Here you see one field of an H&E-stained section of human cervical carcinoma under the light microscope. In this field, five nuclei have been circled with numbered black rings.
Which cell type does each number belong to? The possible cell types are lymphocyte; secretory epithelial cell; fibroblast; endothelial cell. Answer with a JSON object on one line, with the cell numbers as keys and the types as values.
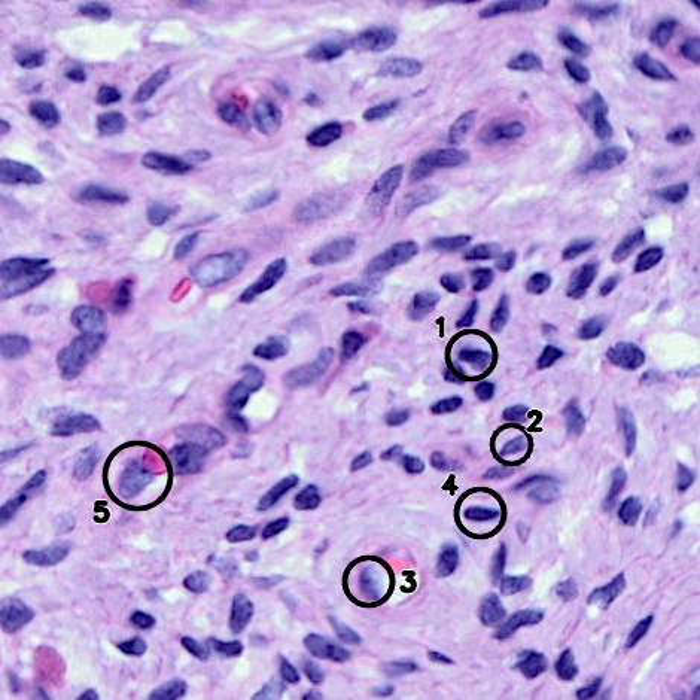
{"1": "fibroblast", "2": "fibroblast", "3": "endothelial cell", "4": "fibroblast", "5": "endothelial cell"}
